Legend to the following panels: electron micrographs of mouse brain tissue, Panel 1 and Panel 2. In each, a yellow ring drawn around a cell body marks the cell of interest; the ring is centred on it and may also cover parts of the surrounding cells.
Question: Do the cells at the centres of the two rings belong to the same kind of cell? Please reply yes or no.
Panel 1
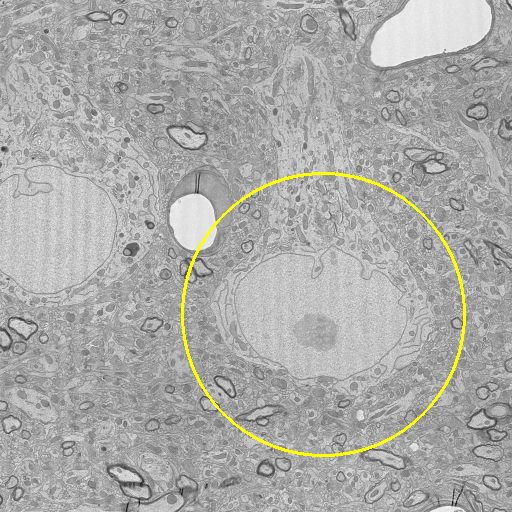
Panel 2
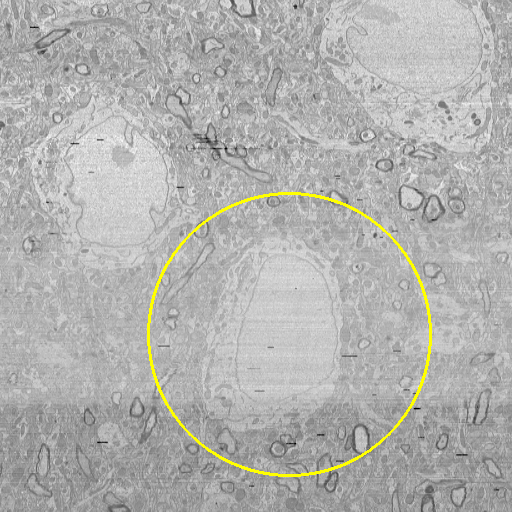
yes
